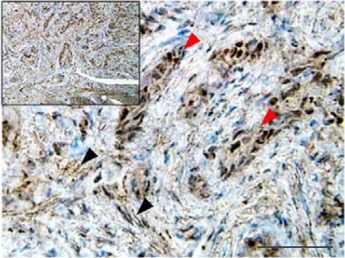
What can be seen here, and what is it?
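A loose fibrous tissue fills most of the field, made of many slender spindle-shaped cells with elongated nuclei lying in a pale wavy matrix. Among them are scattered plumper cells that stain a darker brown, sometimes in small groups. The inset shows the same brown reactivity spread widely across the tissue at lower power.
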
